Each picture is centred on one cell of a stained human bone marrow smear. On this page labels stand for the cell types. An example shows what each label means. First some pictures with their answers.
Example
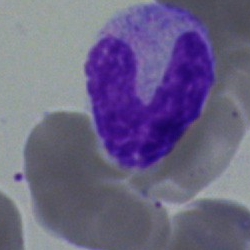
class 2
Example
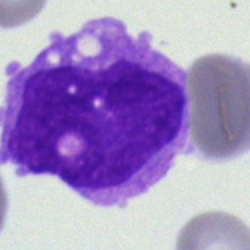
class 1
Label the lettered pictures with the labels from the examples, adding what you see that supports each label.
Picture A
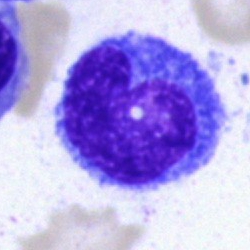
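class 1. Evidence: The nucleus fills most of the cell.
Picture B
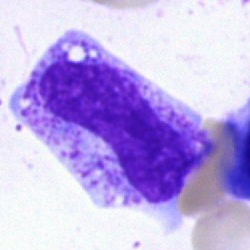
class 2. Evidence: Fine purple granules are scattered through the cytoplasm.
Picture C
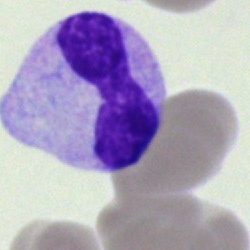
class 2. Evidence: The cytoplasm is abundant and fills the left part of the cell.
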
